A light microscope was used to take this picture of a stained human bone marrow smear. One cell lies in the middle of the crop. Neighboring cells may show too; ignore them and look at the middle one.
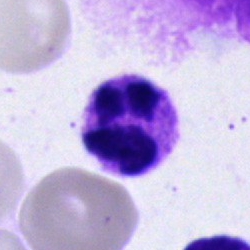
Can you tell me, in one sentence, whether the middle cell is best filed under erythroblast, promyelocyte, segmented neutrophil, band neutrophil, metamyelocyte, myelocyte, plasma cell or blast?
The cell in the middle of this crop is a segmented neutrophil.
